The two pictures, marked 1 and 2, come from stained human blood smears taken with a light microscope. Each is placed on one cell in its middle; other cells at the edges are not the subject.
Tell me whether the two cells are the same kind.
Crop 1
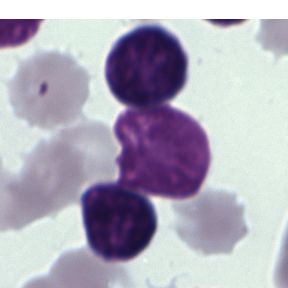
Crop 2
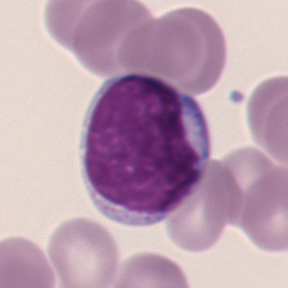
no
